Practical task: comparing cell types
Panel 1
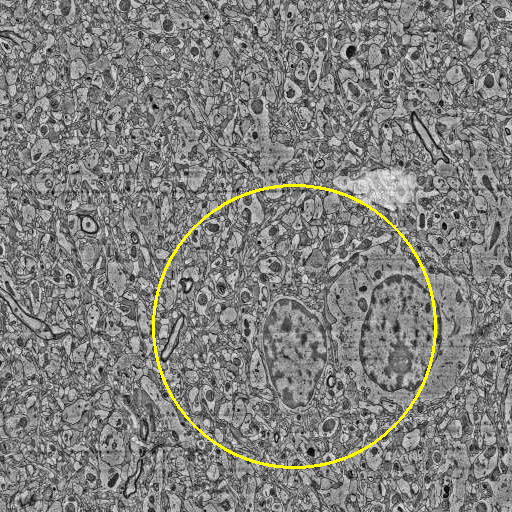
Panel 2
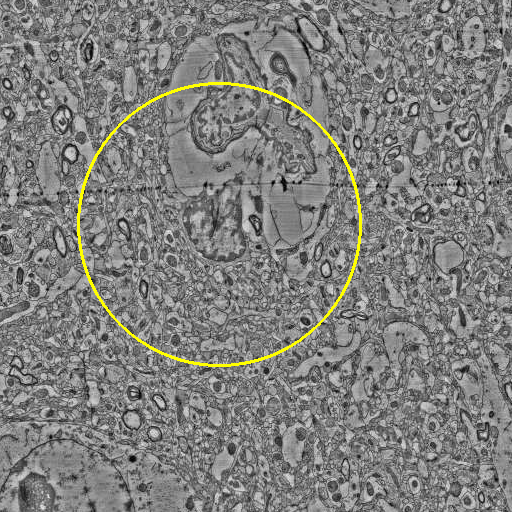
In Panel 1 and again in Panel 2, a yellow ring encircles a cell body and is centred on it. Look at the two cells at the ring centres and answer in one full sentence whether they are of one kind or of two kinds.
The two cells sitting at the ring centres of Panels 1 and 2 are of two kinds.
